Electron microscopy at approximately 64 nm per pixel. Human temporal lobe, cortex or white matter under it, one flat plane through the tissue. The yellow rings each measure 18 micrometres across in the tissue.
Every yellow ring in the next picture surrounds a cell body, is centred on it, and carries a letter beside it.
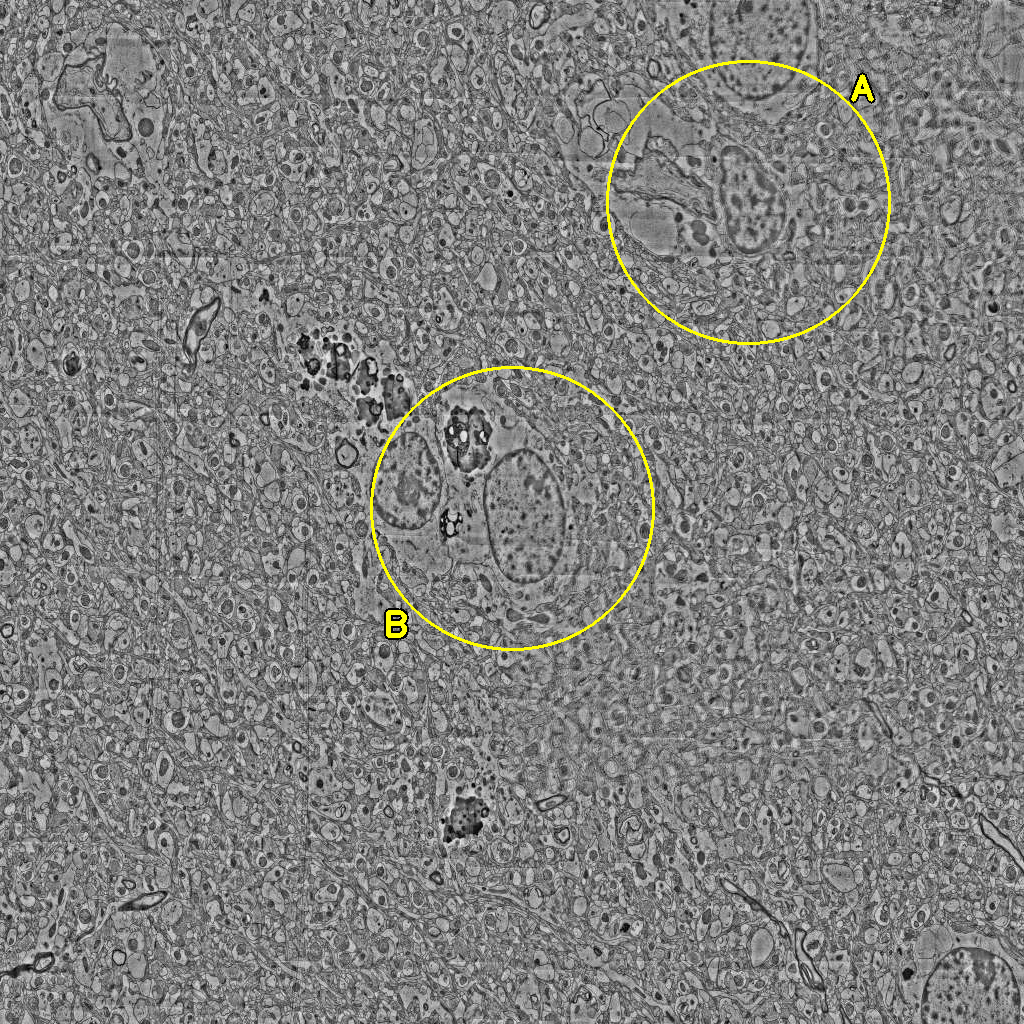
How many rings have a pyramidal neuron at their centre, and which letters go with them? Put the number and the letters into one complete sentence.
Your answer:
Counting the rings centred on a pyramidal neuron gives zero, as there are none.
